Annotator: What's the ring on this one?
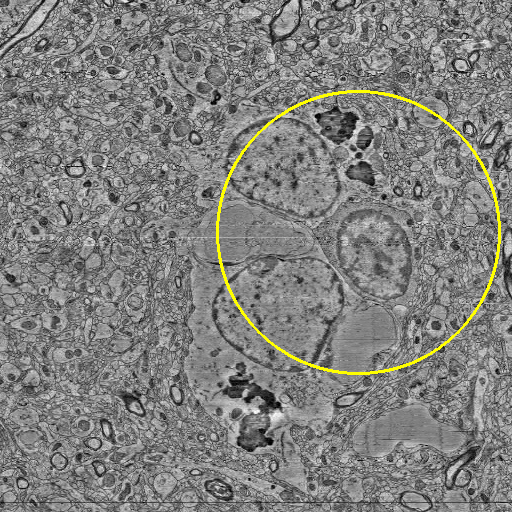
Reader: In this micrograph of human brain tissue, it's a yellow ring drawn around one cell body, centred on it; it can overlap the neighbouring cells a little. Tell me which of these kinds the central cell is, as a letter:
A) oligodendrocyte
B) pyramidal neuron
A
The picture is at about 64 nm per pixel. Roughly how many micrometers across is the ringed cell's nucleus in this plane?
The nucleus comes to roughly 6 by 4 micrometres in this plane.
